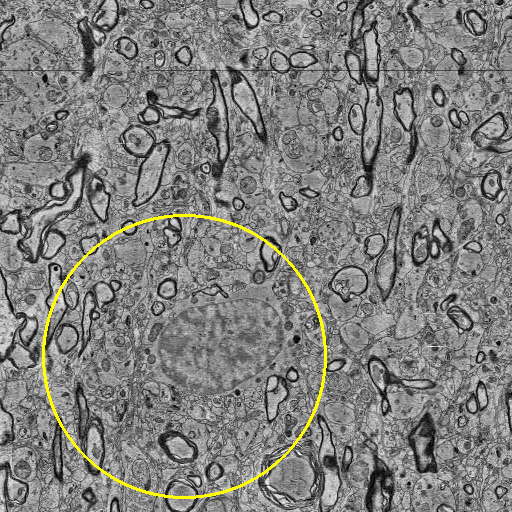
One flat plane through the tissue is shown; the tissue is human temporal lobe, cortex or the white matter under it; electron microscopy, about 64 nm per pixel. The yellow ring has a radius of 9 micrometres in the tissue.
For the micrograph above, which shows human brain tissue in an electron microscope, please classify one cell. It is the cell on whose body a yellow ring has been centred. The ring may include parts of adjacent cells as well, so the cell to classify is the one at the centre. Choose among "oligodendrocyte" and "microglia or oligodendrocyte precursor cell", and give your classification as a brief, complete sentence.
I classify this cell as an oligodendrocyte.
